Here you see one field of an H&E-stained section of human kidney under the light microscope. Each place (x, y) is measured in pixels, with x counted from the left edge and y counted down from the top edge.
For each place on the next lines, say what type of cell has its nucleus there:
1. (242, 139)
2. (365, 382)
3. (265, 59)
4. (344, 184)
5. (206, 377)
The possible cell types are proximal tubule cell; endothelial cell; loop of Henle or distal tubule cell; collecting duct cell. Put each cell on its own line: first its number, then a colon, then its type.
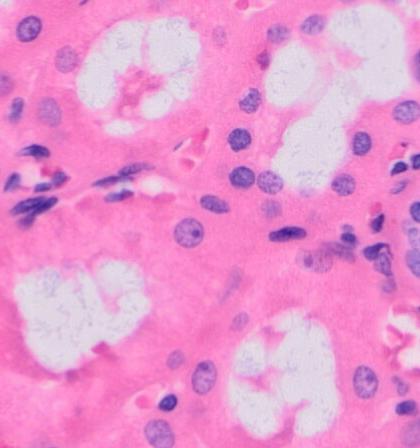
1: loop of Henle or distal tubule cell
2: proximal tubule cell
3: loop of Henle or distal tubule cell
4: loop of Henle or distal tubule cell
5: proximal tubule cell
